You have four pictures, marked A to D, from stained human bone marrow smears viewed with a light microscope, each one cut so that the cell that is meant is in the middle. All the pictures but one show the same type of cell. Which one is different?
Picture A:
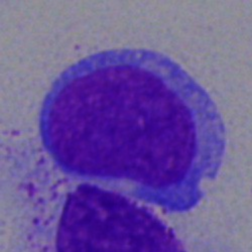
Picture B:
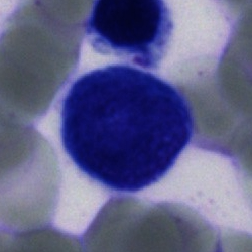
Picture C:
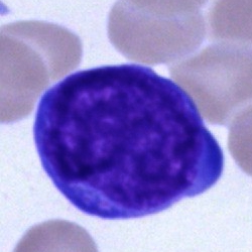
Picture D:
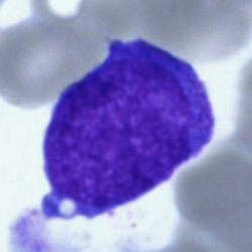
A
